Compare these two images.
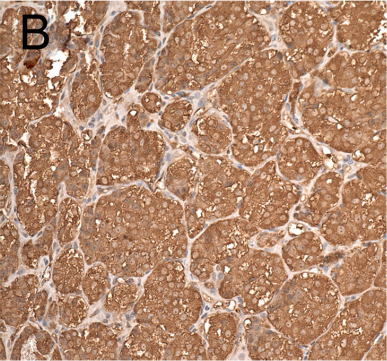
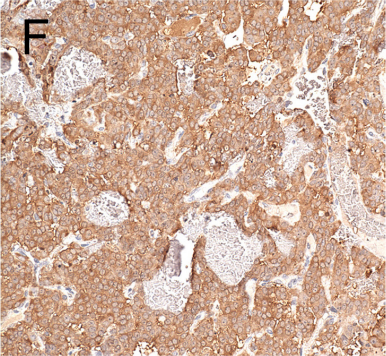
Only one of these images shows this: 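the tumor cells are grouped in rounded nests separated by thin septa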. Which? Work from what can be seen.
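Second image: tumor cells form continuous sheets without nests. First image: tumor cells form rounded nests outlined by thin pale septa.
Hence: the first image.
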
